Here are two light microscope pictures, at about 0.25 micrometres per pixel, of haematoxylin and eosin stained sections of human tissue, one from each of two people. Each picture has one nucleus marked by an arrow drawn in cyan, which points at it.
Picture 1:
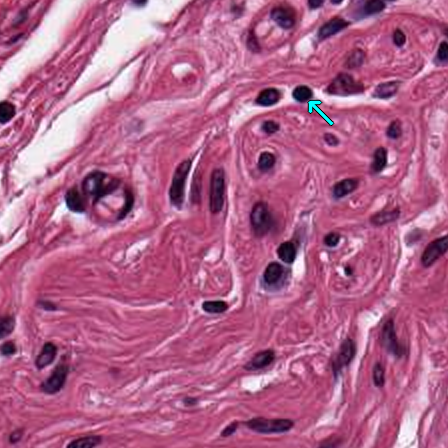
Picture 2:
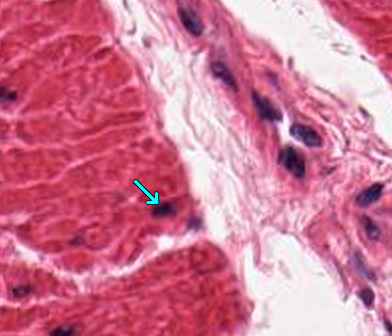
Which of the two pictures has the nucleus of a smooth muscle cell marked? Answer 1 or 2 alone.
2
